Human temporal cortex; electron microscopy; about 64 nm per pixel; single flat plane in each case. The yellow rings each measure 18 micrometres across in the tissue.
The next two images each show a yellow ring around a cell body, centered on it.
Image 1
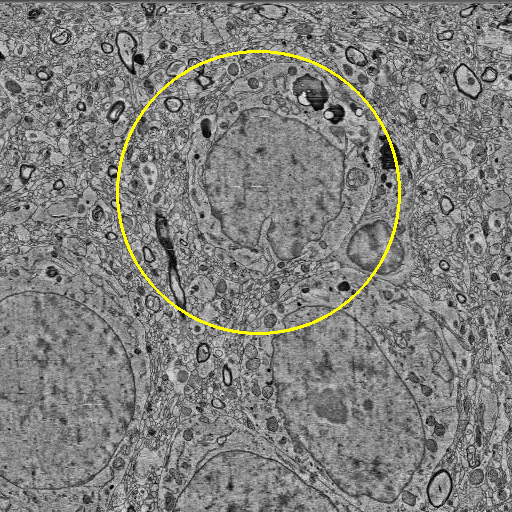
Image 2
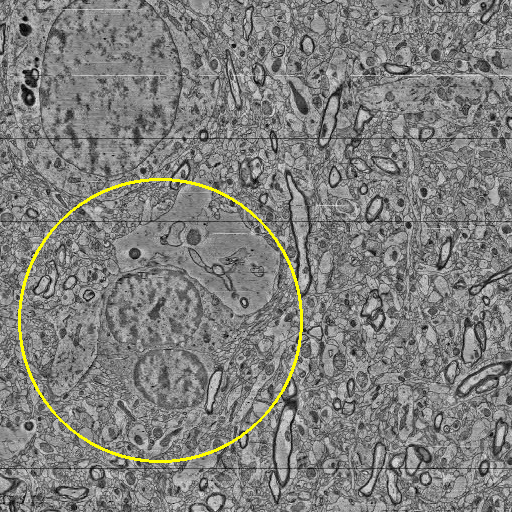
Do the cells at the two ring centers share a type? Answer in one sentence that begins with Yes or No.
No, across the two images the cells at the ring centers are of two types.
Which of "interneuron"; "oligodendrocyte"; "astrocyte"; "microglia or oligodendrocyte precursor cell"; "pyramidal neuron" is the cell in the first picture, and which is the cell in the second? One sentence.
The two differ: the first cell is an interneuron and the second is an oligodendrocyte.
